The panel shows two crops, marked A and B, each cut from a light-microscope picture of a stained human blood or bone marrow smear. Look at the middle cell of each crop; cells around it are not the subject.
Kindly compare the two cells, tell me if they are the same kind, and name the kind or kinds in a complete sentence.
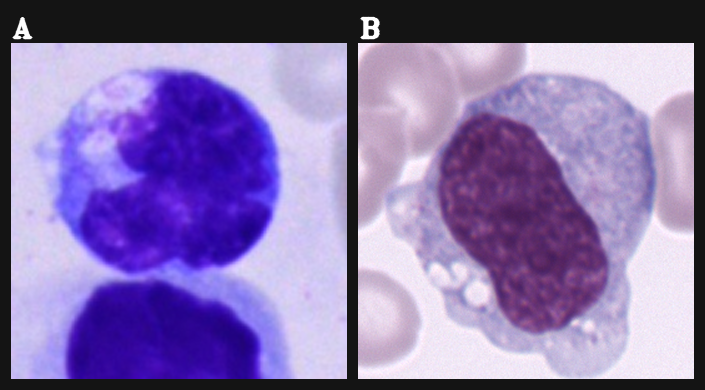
Yes, both crops show monocytes, and the two match.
